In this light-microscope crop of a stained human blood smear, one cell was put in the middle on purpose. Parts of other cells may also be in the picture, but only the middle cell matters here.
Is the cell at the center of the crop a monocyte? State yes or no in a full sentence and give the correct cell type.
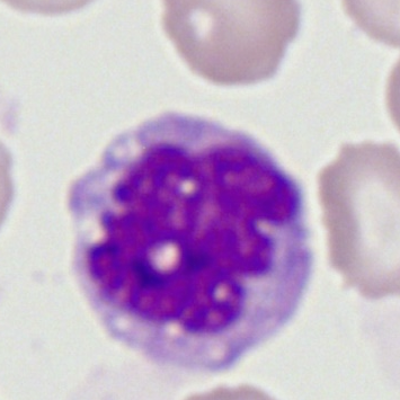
Yes, as for the central cell, it is a monocyte.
